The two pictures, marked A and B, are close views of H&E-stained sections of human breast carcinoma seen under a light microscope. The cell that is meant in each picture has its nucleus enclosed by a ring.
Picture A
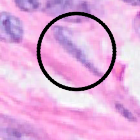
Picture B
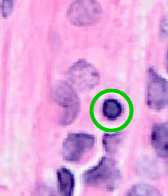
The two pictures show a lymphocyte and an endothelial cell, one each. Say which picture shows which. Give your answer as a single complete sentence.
Picture A shows an endothelial cell and picture B shows a lymphocyte.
